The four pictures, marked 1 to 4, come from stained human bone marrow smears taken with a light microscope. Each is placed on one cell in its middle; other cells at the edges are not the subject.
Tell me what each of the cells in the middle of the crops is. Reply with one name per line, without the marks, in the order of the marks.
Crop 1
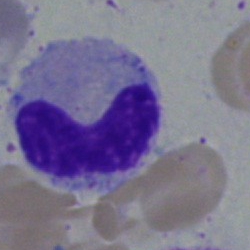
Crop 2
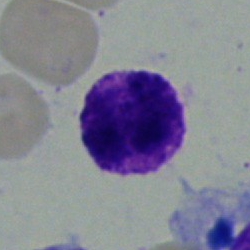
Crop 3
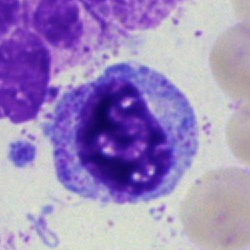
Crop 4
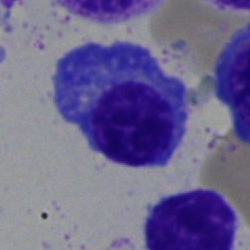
band neutrophil
basophil
myelocyte
plasma cell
